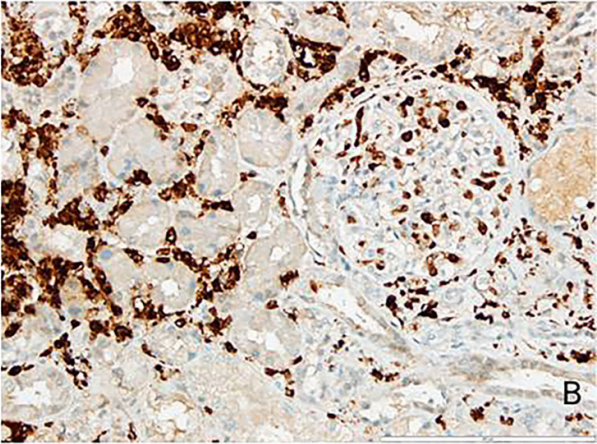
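The brown cells are small and rounded, clustered in clumps and strands that outline the pale tubules. The tubular epithelium shows only faint tan background with blue nuclei. A glomerulus on the right contains many scattered brown cells among its pale capillary loops and blue-stained nuclei. One tubular cast or lumen content at the right edge appears faintly tan.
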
